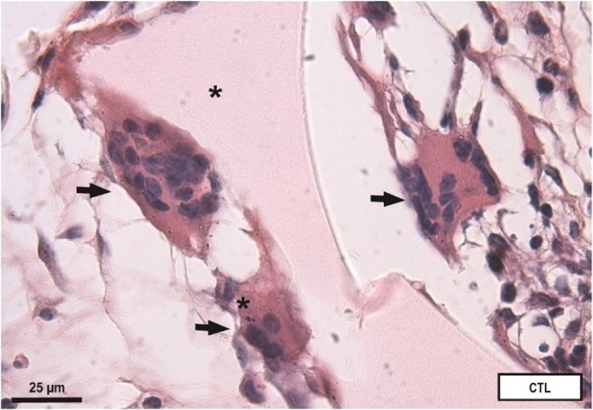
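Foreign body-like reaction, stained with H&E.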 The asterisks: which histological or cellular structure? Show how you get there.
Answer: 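The asterisk lies on a smooth, homogeneous pale pink area without cells or nuclei. Large multinucleated cells line its border. So: biomaterial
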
